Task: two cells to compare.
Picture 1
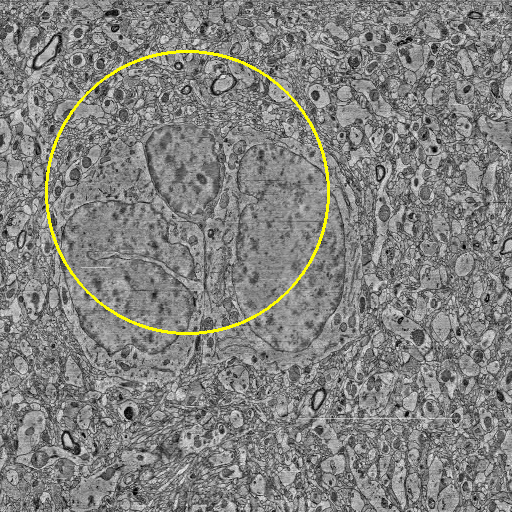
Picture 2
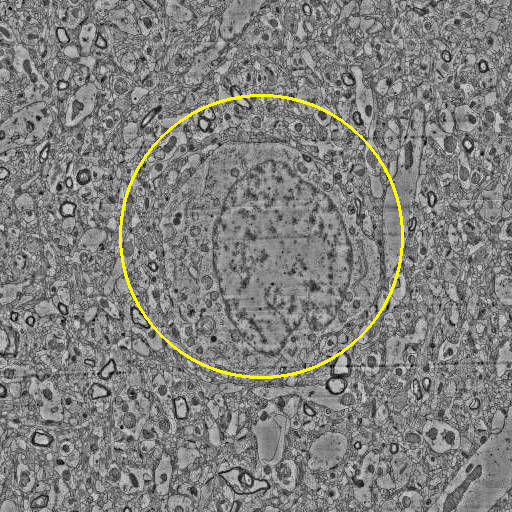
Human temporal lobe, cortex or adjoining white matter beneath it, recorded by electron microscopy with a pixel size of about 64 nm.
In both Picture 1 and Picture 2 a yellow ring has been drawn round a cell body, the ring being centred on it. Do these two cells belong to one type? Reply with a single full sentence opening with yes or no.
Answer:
No, the two cells at the ring centres in Picture 1 and Picture 2 are of two types.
